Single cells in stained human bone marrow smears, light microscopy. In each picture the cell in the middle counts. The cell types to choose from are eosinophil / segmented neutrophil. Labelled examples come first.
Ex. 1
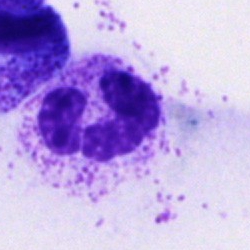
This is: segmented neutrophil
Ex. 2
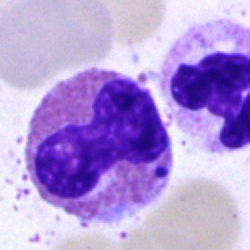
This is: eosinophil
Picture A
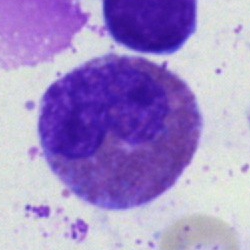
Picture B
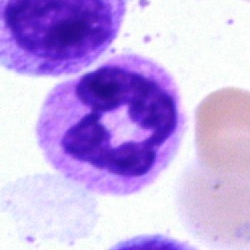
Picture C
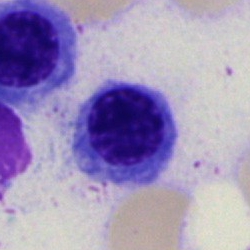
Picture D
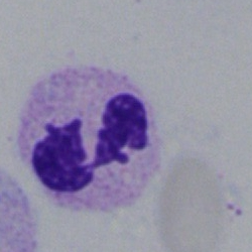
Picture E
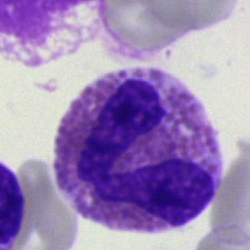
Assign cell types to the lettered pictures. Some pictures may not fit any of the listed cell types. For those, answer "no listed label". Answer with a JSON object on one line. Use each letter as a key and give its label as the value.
{"A": "eosinophil", "B": "segmented neutrophil", "C": "no listed label", "D": "segmented neutrophil", "E": "eosinophil"}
